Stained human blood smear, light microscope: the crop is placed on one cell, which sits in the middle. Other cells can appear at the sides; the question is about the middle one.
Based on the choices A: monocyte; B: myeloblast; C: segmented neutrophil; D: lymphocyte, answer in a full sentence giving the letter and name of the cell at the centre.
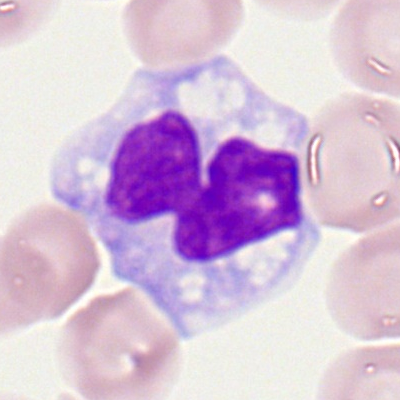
The centrally located cell is a monocyte, making option A the correct choice.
